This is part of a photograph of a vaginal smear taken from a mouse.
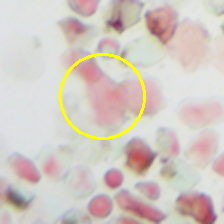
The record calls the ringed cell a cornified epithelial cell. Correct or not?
Correct; it is a cornified epithelial cell.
